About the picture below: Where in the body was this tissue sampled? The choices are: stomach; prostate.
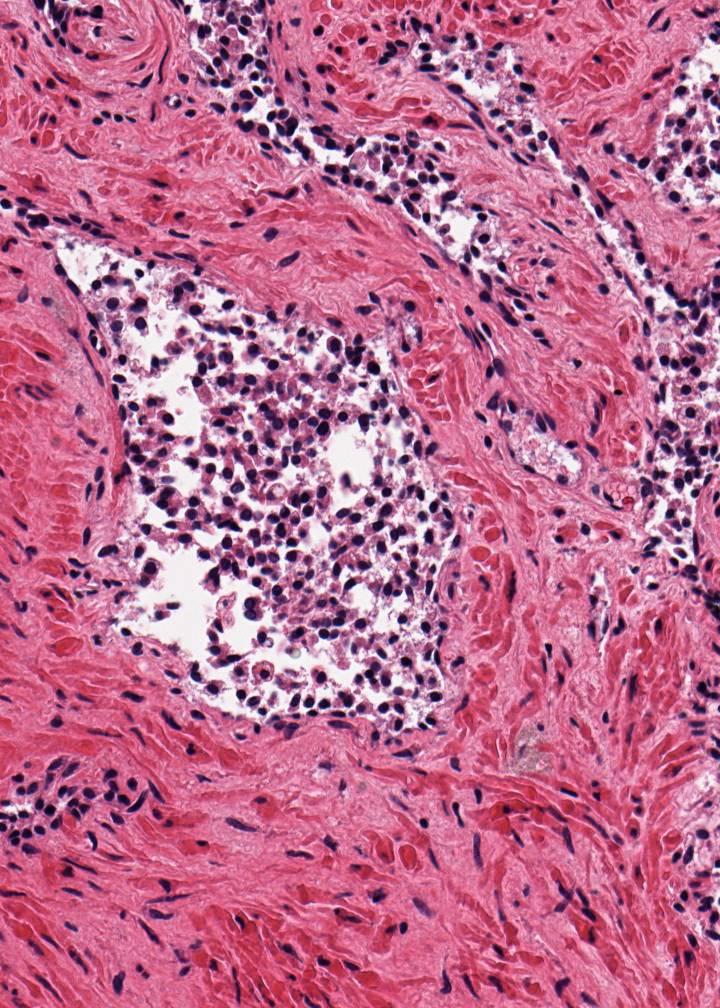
prostate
